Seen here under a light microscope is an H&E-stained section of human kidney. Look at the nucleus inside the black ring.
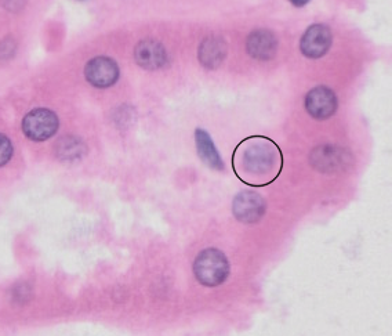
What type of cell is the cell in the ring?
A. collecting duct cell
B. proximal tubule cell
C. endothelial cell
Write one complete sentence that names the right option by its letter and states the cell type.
It is option B that correctly calls the cell in the ring a proximal tubule cell.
